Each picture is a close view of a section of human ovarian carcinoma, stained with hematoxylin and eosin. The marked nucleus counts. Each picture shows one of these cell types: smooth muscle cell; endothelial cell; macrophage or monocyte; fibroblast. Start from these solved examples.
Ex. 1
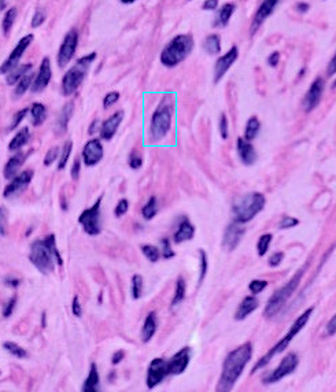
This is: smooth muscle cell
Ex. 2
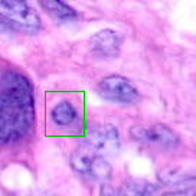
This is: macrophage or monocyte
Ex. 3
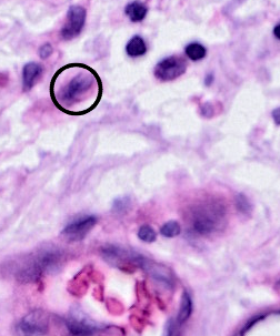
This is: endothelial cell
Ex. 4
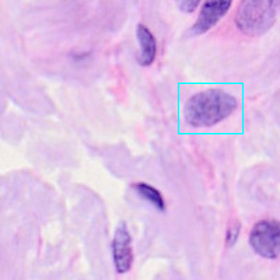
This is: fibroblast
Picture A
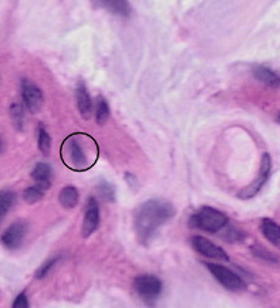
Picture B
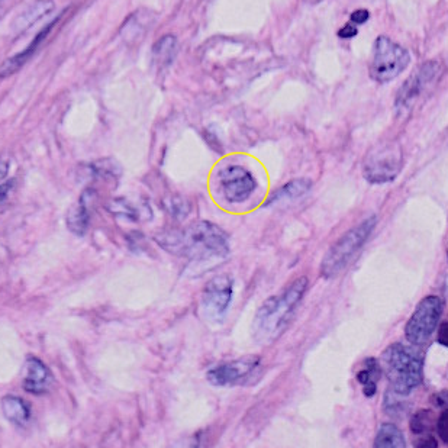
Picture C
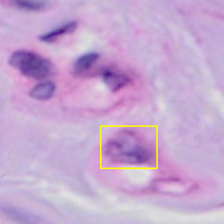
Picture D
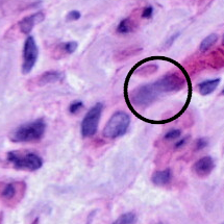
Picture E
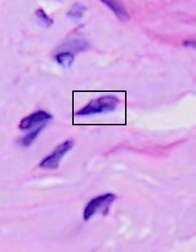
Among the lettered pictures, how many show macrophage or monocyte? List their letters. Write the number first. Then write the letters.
1: B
